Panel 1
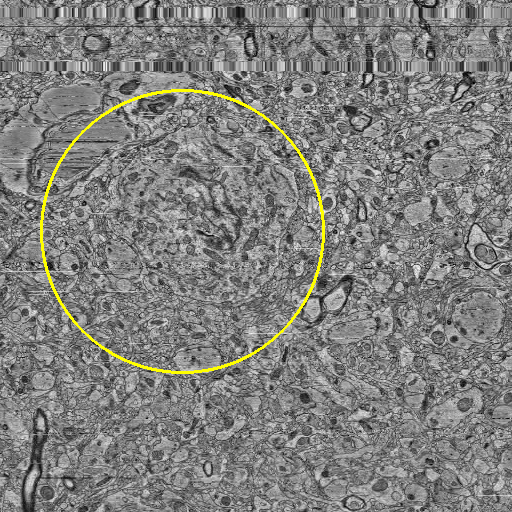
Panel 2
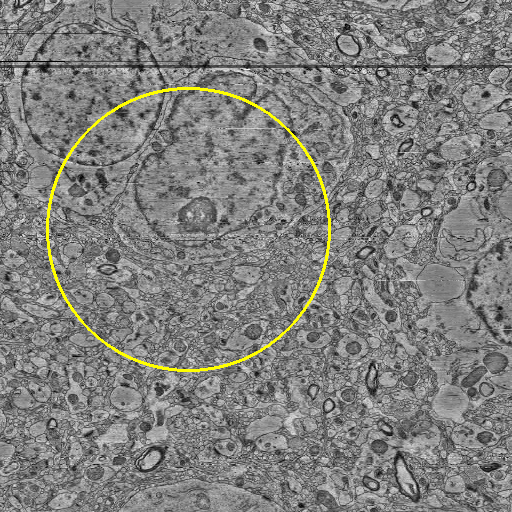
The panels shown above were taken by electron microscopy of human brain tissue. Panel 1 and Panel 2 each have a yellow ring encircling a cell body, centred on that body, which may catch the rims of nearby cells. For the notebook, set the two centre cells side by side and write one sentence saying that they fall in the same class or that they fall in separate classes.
The centred cells of Panel 1 and Panel 2 fall in the same class.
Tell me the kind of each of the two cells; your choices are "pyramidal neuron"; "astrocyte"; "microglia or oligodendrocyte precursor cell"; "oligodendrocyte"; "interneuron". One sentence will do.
Both rings mark an interneuron, one in each picture.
